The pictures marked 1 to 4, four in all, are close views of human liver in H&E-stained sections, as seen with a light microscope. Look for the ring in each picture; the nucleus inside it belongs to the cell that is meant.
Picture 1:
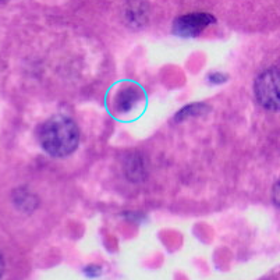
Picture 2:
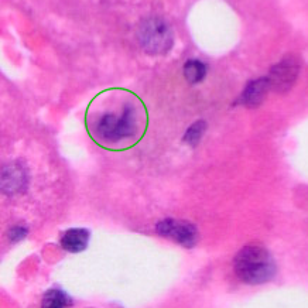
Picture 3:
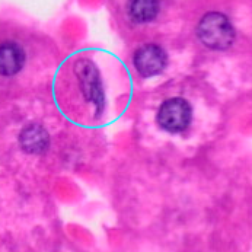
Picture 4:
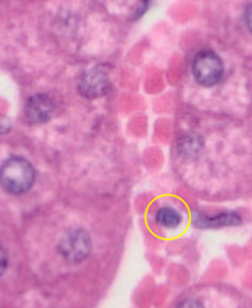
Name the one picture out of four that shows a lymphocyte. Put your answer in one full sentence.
The cell in picture 4 is the lymphocyte.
